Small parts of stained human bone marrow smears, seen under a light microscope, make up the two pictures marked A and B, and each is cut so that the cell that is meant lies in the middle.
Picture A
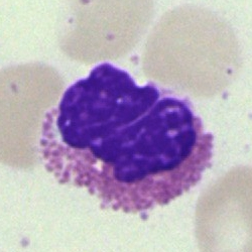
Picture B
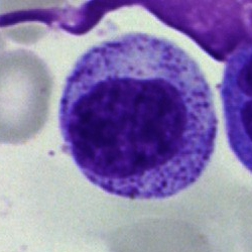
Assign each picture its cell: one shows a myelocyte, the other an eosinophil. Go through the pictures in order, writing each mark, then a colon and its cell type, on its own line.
A: eosinophil
B: myelocyte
